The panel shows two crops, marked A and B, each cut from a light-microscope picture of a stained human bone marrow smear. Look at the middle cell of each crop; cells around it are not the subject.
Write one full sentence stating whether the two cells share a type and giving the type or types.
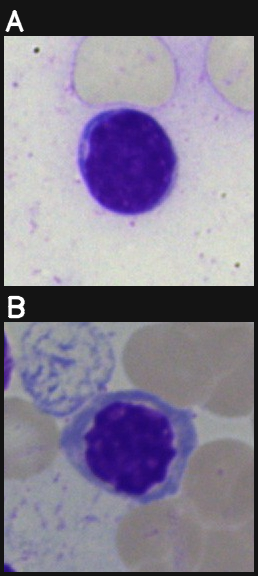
No, crop A is of a lymphocyte, and crop B is of an erythroblast.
